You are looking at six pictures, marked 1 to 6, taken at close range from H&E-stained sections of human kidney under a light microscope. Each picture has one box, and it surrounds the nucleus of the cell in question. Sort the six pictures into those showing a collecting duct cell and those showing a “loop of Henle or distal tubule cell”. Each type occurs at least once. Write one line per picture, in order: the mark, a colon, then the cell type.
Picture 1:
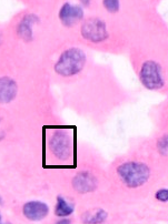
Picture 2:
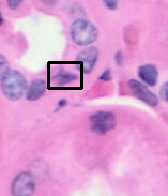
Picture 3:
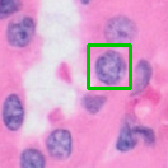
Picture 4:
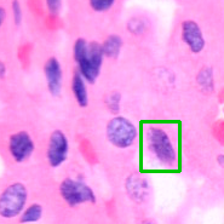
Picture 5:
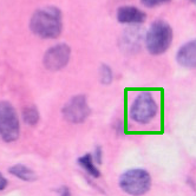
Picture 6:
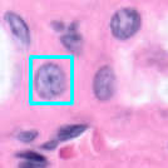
1: loop of Henle or distal tubule cell
2: collecting duct cell
3: loop of Henle or distal tubule cell
4: loop of Henle or distal tubule cell
5: collecting duct cell
6: loop of Henle or distal tubule cell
